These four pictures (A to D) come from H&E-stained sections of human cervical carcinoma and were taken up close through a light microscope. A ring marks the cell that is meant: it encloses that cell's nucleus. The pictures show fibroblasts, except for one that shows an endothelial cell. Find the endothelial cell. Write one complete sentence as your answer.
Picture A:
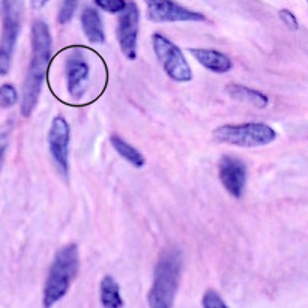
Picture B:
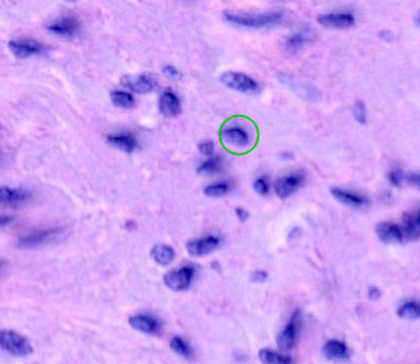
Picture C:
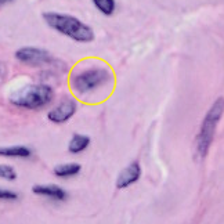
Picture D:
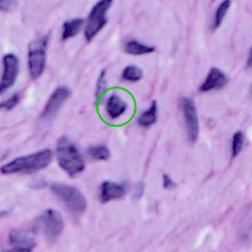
It is picture C that shows the endothelial cell.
